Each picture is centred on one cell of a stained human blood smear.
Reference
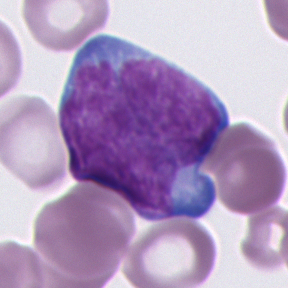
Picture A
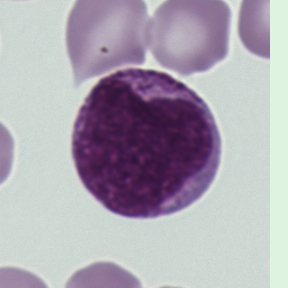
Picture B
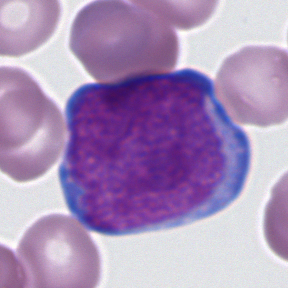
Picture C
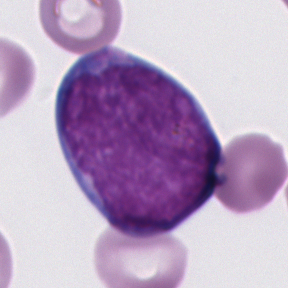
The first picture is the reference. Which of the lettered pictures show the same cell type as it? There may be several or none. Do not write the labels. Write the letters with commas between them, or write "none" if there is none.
A, B, C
